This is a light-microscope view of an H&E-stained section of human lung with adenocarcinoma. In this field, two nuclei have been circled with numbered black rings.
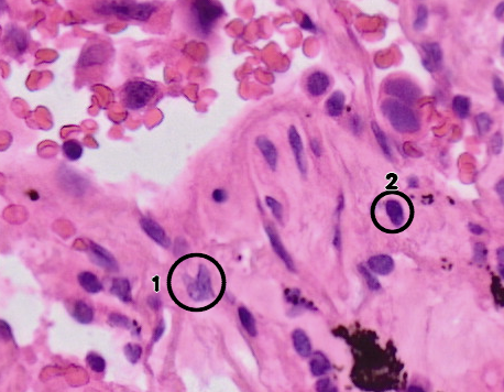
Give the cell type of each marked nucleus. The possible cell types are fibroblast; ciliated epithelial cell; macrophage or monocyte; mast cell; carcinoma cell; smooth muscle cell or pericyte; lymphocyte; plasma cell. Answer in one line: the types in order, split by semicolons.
fibroblast; lymphocyte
